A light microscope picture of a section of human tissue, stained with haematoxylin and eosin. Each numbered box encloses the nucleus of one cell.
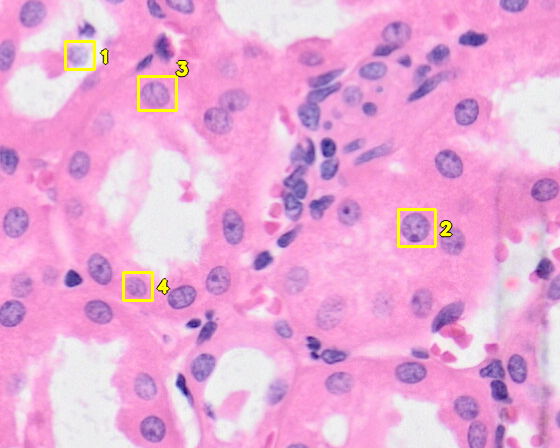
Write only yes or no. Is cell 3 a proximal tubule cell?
yes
